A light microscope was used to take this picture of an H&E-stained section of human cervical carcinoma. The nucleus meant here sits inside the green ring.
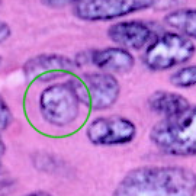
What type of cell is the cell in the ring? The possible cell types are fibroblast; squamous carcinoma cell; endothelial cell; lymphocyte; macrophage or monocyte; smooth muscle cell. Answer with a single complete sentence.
Just put down that the cell in the ring is a squamous carcinoma cell.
